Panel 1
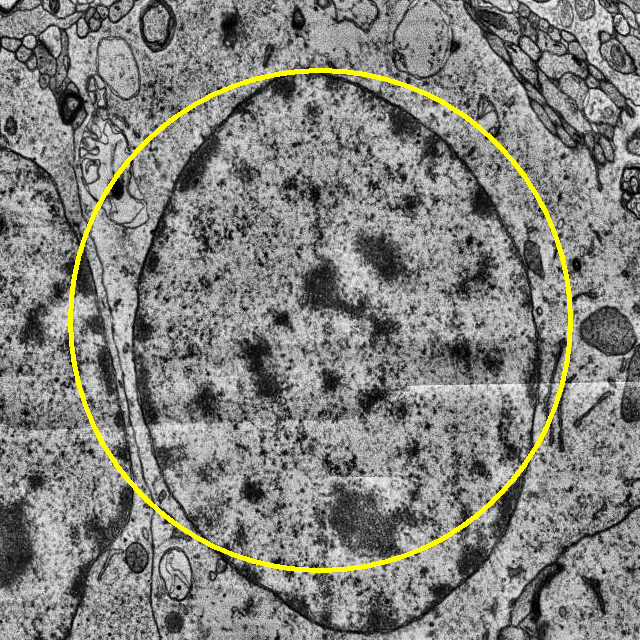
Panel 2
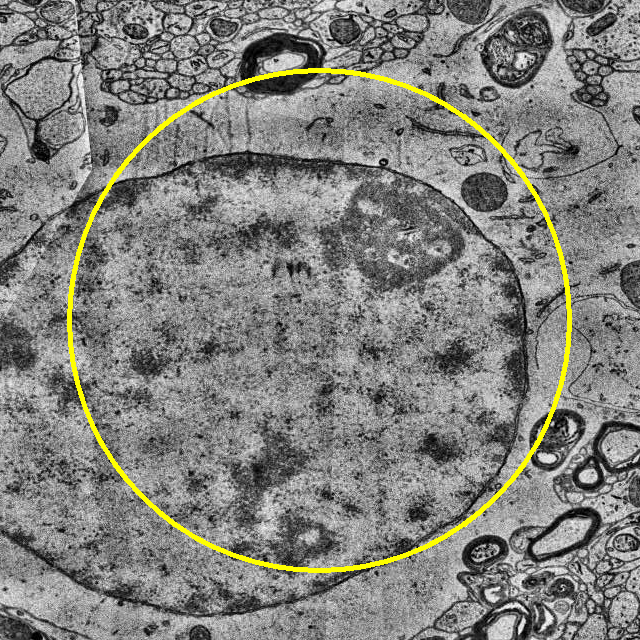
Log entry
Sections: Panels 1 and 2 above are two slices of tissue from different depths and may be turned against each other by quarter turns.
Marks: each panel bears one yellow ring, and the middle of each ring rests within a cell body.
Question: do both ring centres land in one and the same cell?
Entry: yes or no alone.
no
